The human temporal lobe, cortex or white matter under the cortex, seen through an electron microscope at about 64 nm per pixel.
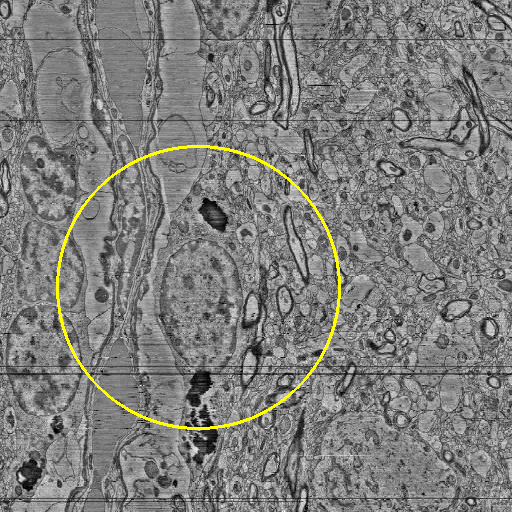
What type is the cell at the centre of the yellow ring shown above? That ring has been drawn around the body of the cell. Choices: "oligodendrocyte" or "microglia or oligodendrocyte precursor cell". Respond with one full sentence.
My answer is that an oligodendrocyte lies at the centre of the yellow ring above.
